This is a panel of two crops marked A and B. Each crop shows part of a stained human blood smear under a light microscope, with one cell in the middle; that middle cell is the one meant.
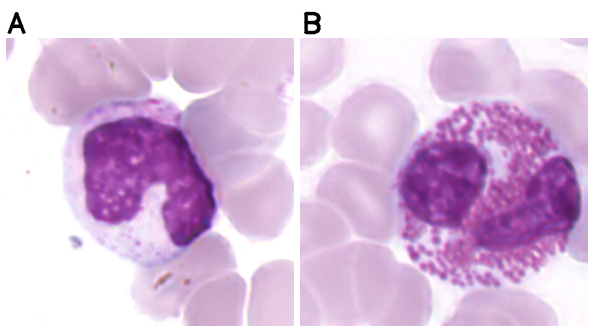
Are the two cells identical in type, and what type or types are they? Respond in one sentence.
No, a band neutrophil is in crop A, while an eosinophil is in crop B.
